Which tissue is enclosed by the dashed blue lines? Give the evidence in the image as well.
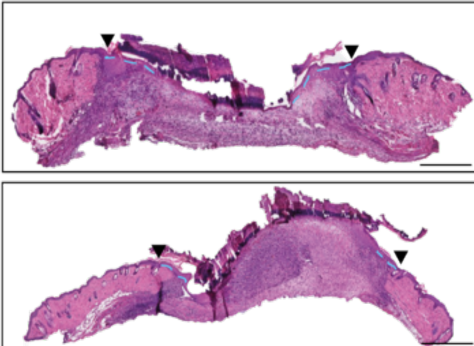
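The dashed blue lines run along the thin surface layer at the sides of the section. They sit at the skin surface next to the black arrowheads.
Conclusion: new epidermis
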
